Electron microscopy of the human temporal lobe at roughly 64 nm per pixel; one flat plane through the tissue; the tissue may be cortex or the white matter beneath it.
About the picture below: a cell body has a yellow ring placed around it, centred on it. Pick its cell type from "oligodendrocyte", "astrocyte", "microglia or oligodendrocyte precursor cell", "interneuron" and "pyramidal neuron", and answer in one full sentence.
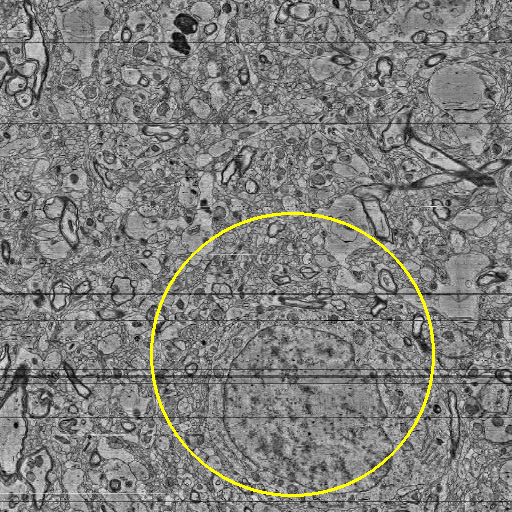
In the picture, an interneuron is the cell sitting at the centre of the yellow ring.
